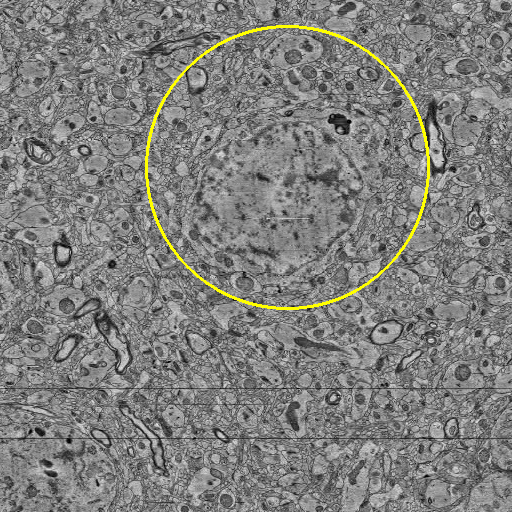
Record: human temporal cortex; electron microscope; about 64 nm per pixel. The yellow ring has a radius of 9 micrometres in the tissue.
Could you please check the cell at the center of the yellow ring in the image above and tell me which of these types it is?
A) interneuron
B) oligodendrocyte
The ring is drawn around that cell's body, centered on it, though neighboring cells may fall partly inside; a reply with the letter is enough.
A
